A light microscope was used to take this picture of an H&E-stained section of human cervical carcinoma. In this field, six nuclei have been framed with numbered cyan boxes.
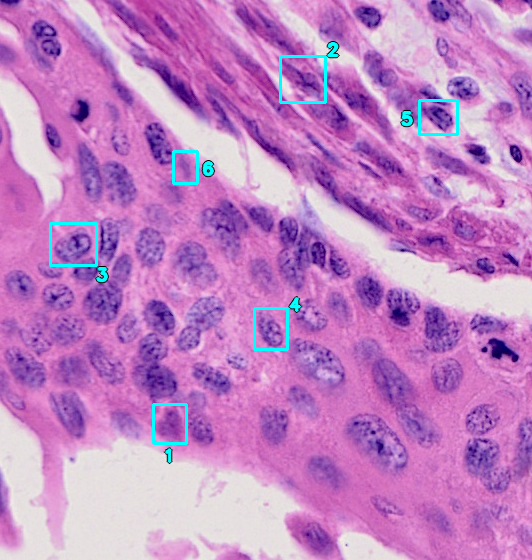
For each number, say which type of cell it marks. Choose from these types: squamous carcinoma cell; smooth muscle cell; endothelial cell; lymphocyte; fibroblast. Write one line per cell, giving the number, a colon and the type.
1: squamous carcinoma cell
2: fibroblast
3: squamous carcinoma cell
4: squamous carcinoma cell
5: lymphocyte
6: squamous carcinoma cell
